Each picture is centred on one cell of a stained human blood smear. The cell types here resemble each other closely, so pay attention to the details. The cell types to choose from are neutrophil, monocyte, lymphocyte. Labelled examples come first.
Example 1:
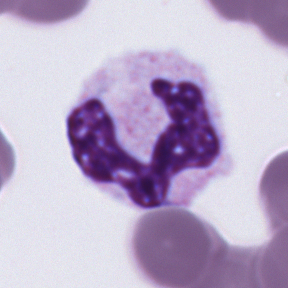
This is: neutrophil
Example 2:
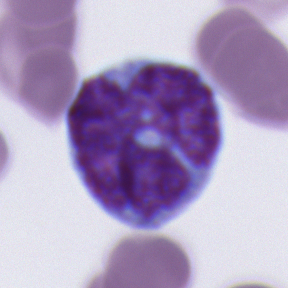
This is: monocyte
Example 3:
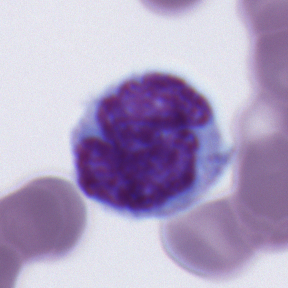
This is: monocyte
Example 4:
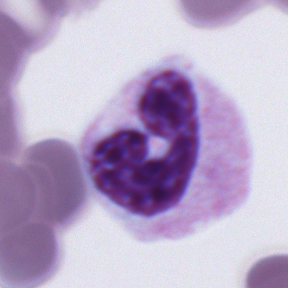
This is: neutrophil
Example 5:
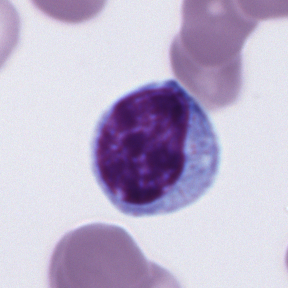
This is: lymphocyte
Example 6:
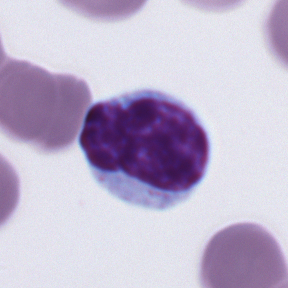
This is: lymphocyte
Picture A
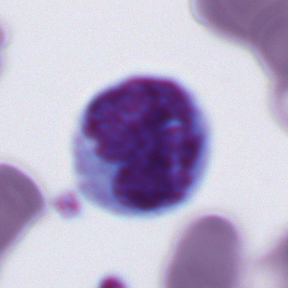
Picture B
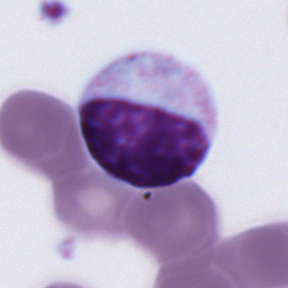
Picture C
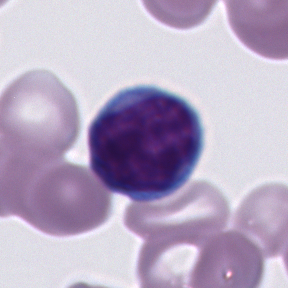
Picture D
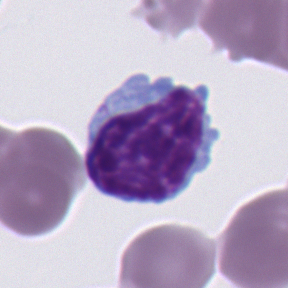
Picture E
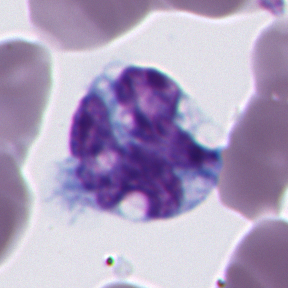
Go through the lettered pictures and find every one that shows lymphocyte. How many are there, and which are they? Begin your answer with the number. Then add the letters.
Count: 3 (B, C, D)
